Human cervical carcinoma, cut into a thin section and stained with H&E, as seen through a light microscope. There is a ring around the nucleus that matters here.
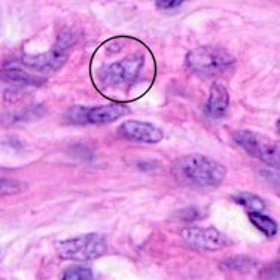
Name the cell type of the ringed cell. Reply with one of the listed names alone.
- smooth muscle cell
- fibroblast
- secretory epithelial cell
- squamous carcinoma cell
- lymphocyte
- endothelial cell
endothelial cell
